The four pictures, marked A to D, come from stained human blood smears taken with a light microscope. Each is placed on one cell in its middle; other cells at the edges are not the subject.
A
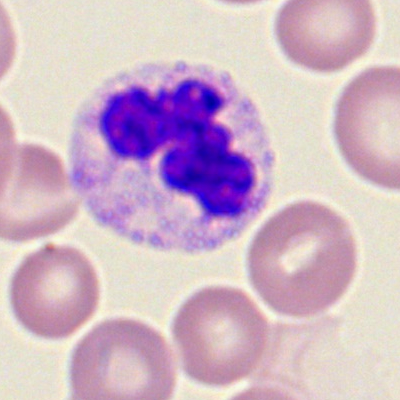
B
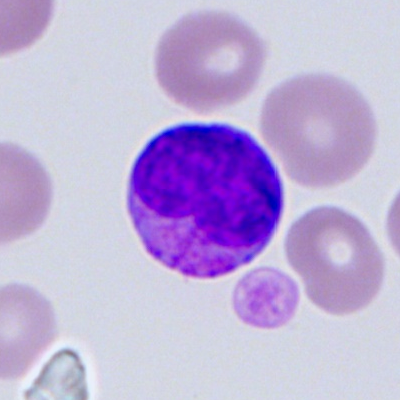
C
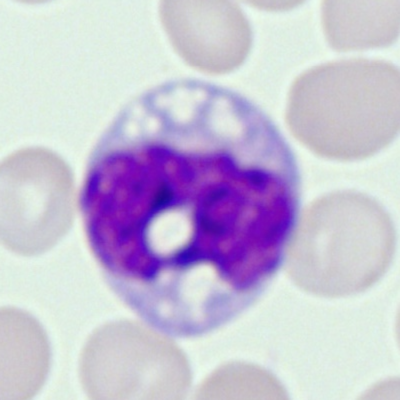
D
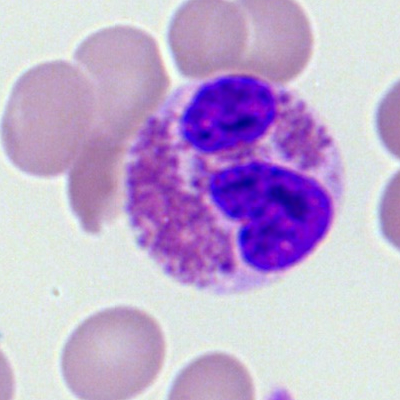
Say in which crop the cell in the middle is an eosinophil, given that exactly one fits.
D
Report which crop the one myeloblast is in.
B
